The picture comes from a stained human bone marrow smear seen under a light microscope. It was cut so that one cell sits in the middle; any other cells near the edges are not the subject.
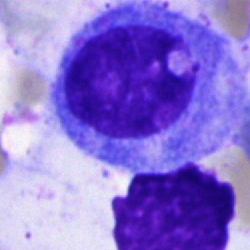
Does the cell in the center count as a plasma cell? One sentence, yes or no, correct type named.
Yes, the cell lying in the middle is a plasma cell.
